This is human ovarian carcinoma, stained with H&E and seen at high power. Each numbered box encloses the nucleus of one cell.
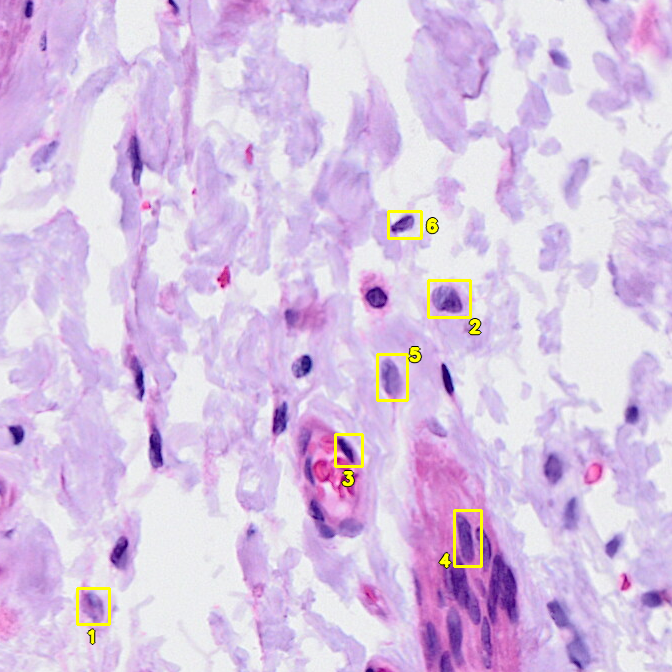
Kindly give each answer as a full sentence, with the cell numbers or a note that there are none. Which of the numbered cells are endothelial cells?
The nucleus numbered 3 is the only one that belongs to an endothelial cell.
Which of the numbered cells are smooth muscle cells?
Only at number 4 is there a smooth muscle cell.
